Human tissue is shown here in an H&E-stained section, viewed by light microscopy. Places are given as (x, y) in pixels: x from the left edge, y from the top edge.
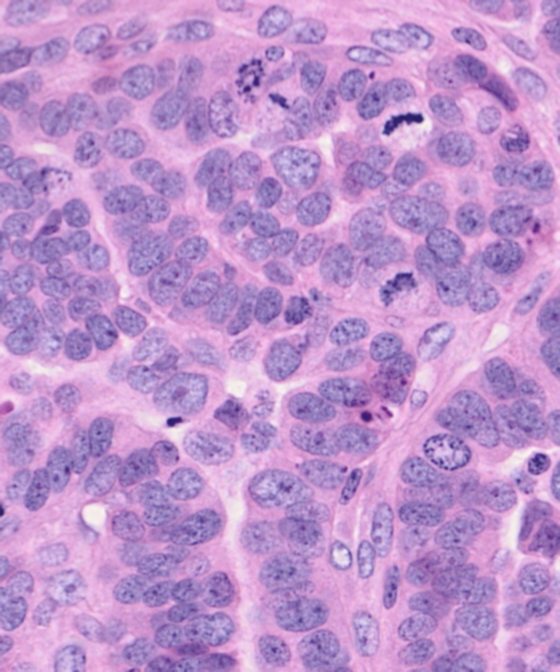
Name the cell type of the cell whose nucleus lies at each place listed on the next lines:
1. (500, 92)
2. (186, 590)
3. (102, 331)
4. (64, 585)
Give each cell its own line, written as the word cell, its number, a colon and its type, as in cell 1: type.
cell 1: carcinoma cell
cell 2: carcinoma cell
cell 3: carcinoma cell
cell 4: fibroblast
